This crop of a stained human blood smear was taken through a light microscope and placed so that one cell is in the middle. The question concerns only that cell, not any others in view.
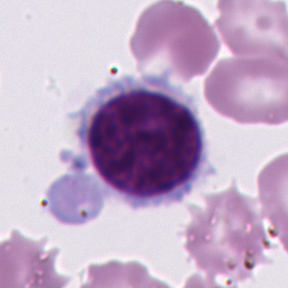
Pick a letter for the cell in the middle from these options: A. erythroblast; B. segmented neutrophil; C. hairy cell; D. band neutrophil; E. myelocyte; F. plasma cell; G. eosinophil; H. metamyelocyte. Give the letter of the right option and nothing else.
C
